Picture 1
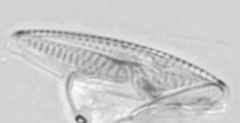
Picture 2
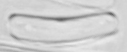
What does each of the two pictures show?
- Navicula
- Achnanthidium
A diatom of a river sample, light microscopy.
1: Navicula
2: Achnanthidium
